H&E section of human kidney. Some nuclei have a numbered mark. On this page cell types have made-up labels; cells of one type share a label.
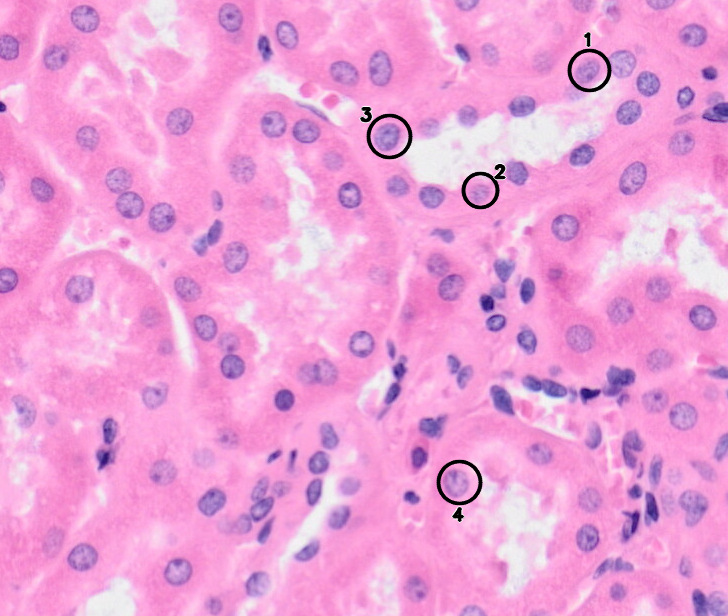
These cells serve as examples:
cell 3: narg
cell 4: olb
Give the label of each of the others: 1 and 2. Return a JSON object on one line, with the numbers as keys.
{"1": "narg", "2": "narg"}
